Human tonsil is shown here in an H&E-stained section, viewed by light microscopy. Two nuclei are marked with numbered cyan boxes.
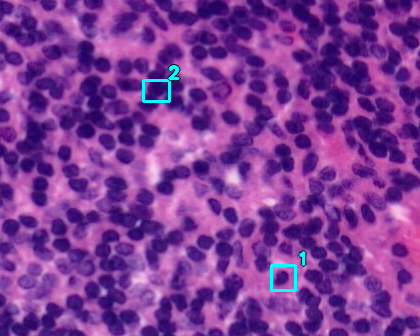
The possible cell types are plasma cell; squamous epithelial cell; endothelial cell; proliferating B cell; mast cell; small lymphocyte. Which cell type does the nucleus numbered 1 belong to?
endothelial cell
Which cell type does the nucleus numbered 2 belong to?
small lymphocyte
